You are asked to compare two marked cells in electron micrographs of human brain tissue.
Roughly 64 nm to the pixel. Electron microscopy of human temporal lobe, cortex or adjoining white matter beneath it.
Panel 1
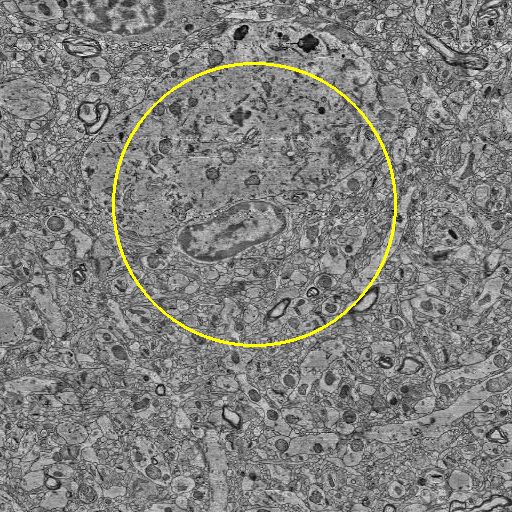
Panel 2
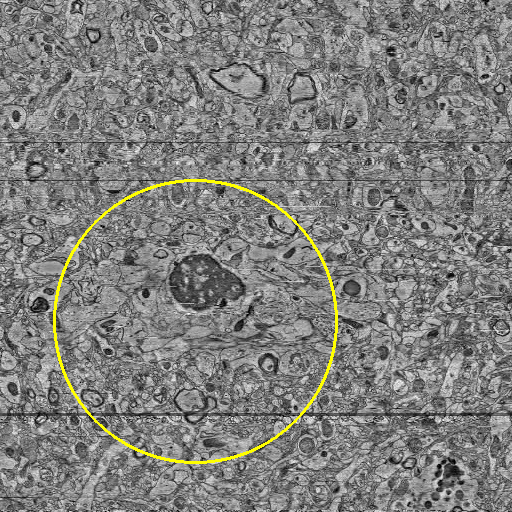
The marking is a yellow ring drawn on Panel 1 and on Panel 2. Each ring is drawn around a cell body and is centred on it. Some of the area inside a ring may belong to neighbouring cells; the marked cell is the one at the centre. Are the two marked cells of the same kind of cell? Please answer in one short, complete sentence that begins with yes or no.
Yes, the two marked cells are of the same kind.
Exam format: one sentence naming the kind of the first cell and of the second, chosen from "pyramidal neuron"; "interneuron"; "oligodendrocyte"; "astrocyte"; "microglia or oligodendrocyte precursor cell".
The second cell is a microglial cell or oligodendrocyte precursor cell, just as the first is.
